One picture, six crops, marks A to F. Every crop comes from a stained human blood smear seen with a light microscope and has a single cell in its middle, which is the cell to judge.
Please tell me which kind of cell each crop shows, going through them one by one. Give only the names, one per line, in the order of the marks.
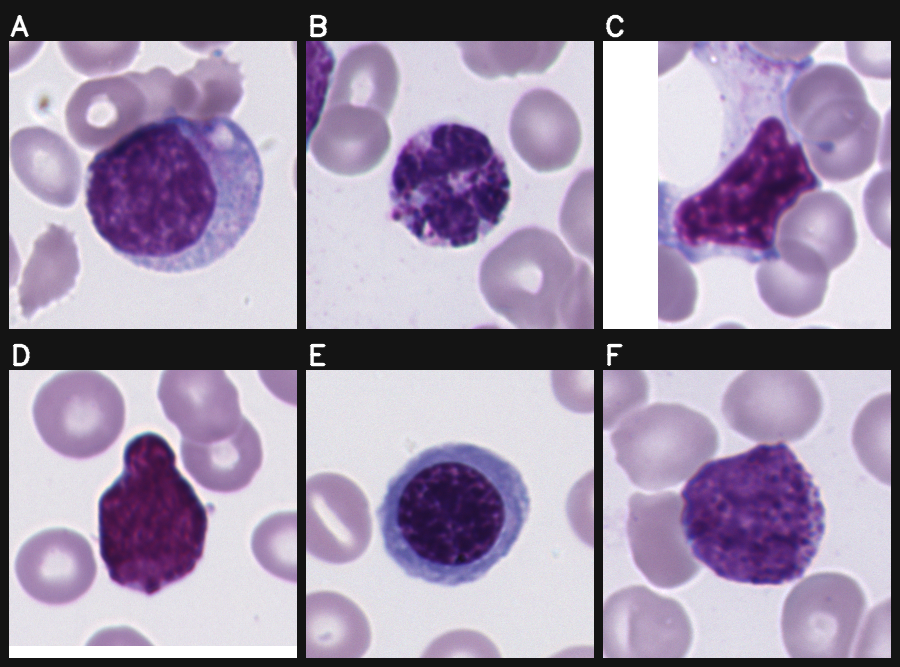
myelocyte
basophil
large granular lymphocyte
myeloblast
normoblast
basophil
